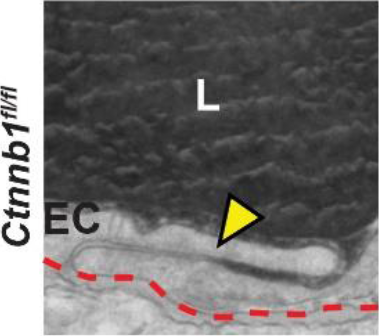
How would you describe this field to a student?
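Two endothelial membranes run parallel for a stretch along the bottom of the lumen, forming a long, thin intercellular cleft that ends in a pale rounded tip. The endothelial cytoplasm beneath is pale, and a red dashed line follows its outer, abluminal border.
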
